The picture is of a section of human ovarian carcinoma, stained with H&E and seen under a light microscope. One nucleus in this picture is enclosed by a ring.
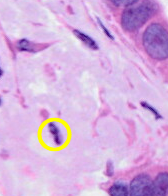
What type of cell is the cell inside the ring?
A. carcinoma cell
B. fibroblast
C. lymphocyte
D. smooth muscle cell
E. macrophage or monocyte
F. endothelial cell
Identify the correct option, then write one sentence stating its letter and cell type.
Option B is correct here; the cell inside the ring is a fibroblast.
